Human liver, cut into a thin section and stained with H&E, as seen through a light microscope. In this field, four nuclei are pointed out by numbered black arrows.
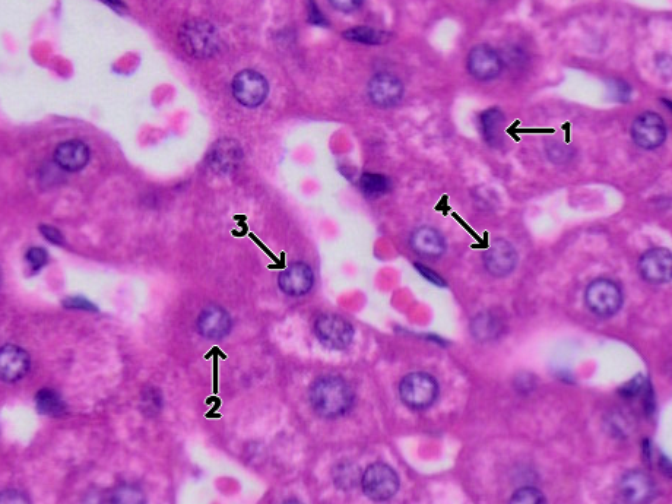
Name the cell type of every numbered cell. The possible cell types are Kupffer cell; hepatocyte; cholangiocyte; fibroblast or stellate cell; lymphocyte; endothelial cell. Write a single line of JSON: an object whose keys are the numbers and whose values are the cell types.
{"1": "Kupffer cell", "2": "hepatocyte", "3": "hepatocyte", "4": "hepatocyte"}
